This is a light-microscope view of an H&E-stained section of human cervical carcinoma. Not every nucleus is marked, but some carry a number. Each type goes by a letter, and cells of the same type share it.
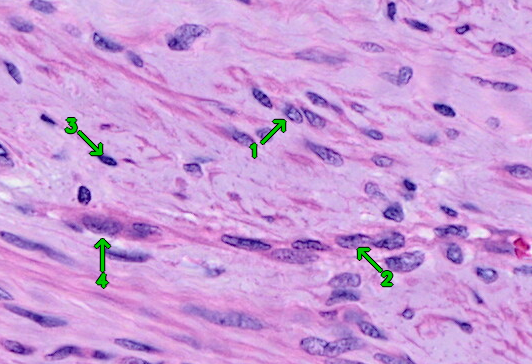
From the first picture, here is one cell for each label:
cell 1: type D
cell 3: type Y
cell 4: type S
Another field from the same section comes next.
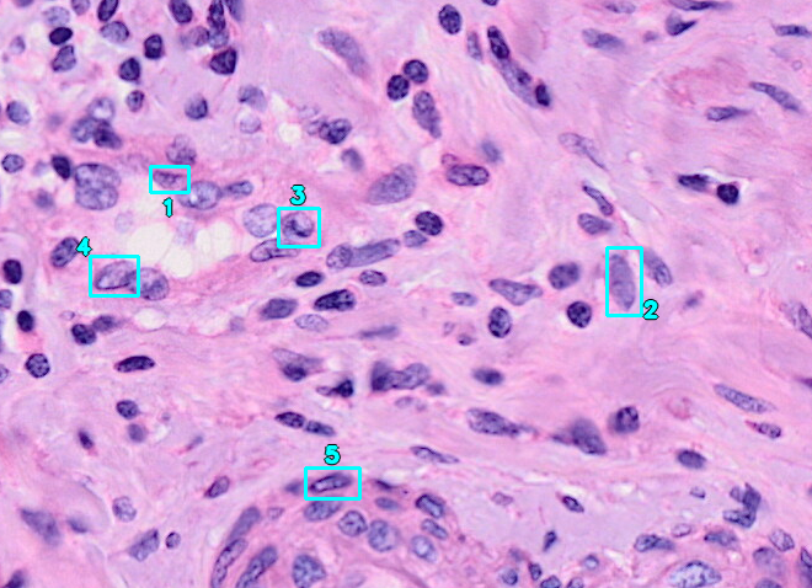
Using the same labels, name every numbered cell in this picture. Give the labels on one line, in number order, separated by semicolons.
type S; type Y; type S; type S; type D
